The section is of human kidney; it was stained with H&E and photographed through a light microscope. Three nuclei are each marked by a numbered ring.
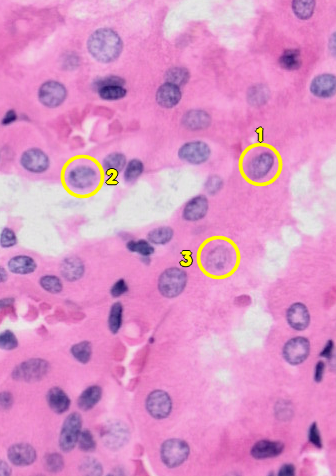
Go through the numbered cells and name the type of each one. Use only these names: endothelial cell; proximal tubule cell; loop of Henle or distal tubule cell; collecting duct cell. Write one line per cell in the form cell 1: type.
cell 1: proximal tubule cell
cell 2: collecting duct cell
cell 3: proximal tubule cell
